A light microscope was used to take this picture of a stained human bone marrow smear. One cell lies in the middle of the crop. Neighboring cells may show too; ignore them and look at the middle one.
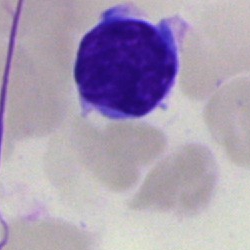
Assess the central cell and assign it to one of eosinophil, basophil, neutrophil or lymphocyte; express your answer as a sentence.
This particular crop is centered on a lymphocyte.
